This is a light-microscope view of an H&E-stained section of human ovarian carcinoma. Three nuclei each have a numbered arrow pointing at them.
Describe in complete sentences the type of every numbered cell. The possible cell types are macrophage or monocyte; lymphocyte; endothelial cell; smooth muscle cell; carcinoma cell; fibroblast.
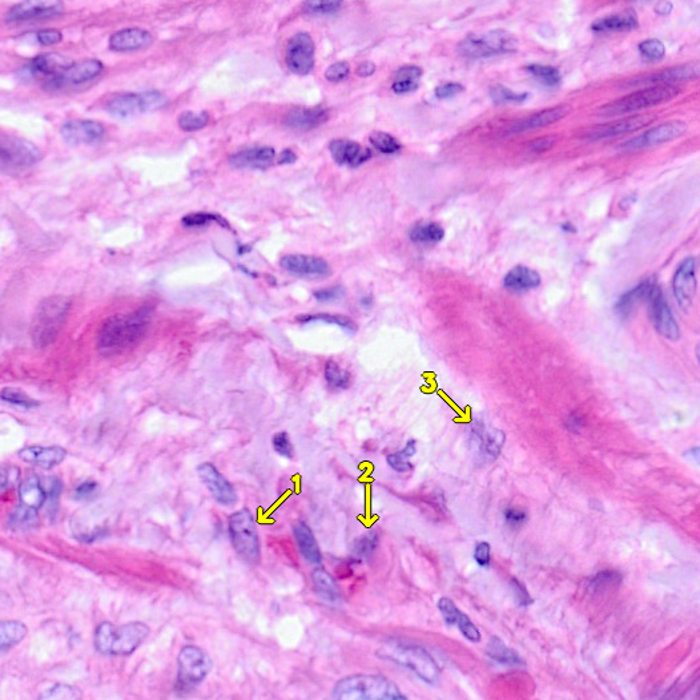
Cell 1 is an endothelial cell, cell 2 is an endothelial cell and cell 3 is a fibroblast.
